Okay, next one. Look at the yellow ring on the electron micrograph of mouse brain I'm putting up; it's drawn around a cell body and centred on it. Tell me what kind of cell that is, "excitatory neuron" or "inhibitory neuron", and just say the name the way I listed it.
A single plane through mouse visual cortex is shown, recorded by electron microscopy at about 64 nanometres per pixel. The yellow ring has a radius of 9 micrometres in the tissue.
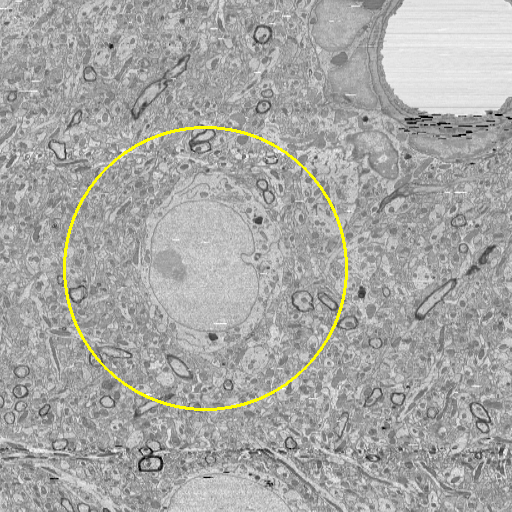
excitatory neuron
